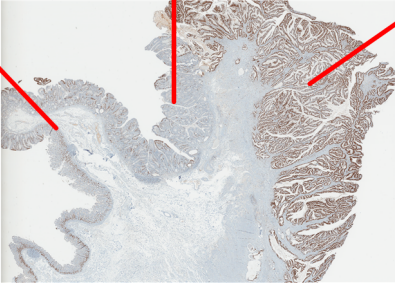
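This low-power view of a colon section shows a thin strip of mucosa on the left that passes into a thickened, folded glandular region and then into a large mass of crowded, branching glands on the right. The mucosa on the left is mostly pale blue, with brown stain limited to a thin line. On the right the packed, elongated glands are almost entirely dark brown. Pale, loosely textured connective tissue lies beneath and between these regions.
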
